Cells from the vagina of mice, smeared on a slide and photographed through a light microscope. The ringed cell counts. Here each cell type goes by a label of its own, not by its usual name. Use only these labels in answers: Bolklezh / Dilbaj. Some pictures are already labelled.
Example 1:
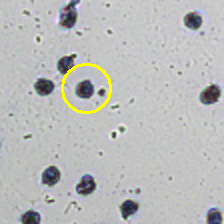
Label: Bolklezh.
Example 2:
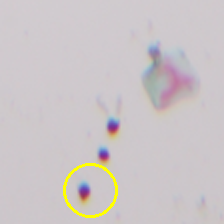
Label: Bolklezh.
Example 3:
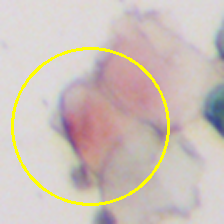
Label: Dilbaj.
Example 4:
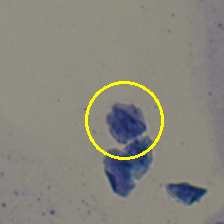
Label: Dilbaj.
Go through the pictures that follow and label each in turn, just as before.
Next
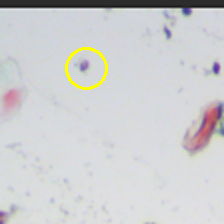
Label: Bolklezh.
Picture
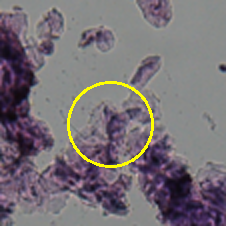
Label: Dilbaj.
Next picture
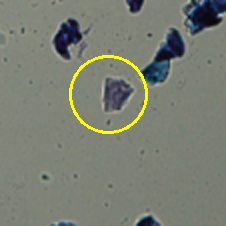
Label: Dilbaj.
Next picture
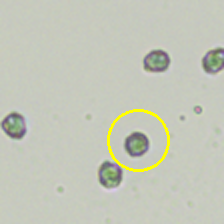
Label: Bolklezh.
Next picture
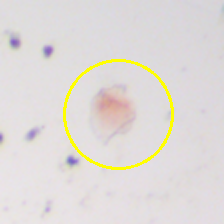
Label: Dilbaj.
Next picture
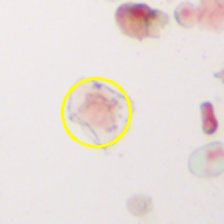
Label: Dilbaj.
